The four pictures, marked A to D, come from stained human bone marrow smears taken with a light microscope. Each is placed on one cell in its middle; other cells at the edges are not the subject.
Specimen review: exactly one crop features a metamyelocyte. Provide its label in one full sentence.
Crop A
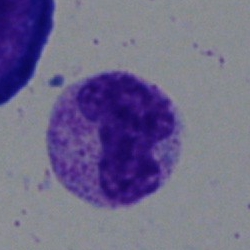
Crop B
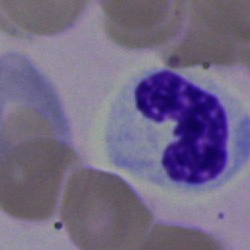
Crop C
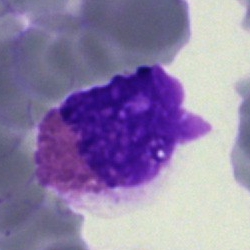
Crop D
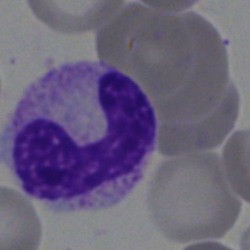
Here the crop that shows a metamyelocyte is crop A.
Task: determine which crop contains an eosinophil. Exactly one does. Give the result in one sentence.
The correct choice is crop C, the one showing an eosinophil.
